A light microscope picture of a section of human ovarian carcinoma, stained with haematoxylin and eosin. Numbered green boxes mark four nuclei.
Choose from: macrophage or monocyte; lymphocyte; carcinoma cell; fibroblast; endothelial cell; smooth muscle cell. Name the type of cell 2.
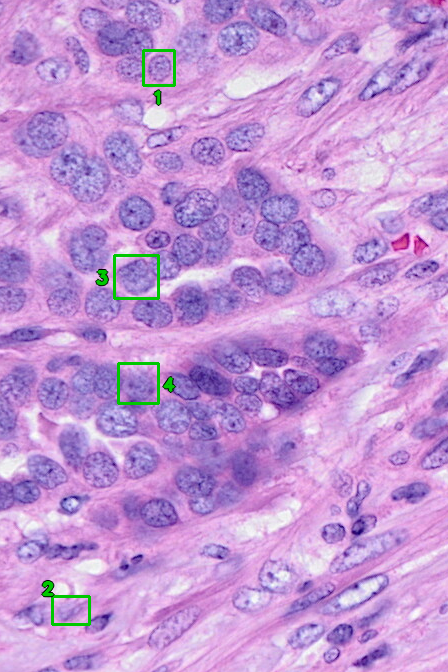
fibroblast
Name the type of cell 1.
carcinoma cell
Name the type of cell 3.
carcinoma cell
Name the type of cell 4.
carcinoma cell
